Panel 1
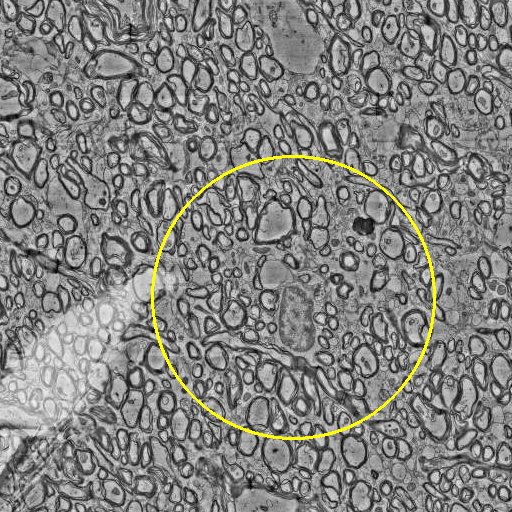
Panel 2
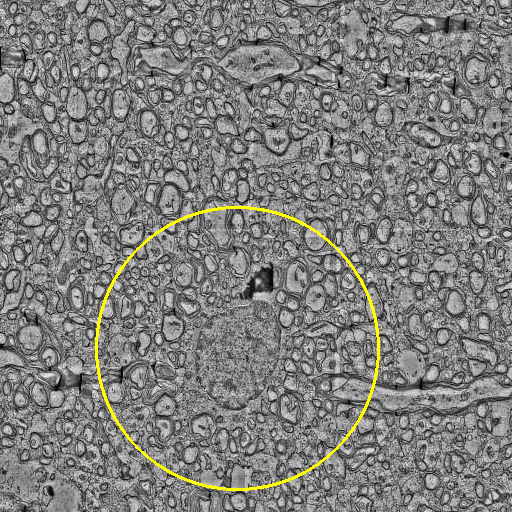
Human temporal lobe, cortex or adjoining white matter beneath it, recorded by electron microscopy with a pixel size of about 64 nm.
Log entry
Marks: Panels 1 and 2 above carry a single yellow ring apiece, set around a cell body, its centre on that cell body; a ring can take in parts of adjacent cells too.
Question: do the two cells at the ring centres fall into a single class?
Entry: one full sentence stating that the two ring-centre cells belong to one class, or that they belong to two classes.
The two ring-centre cells in Panels 1 and 2 belong to one class.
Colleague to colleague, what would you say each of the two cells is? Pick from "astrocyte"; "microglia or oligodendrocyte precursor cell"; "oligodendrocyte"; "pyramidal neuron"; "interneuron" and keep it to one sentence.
In each of the two pictures, the ringed cell is an oligodendrocyte.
